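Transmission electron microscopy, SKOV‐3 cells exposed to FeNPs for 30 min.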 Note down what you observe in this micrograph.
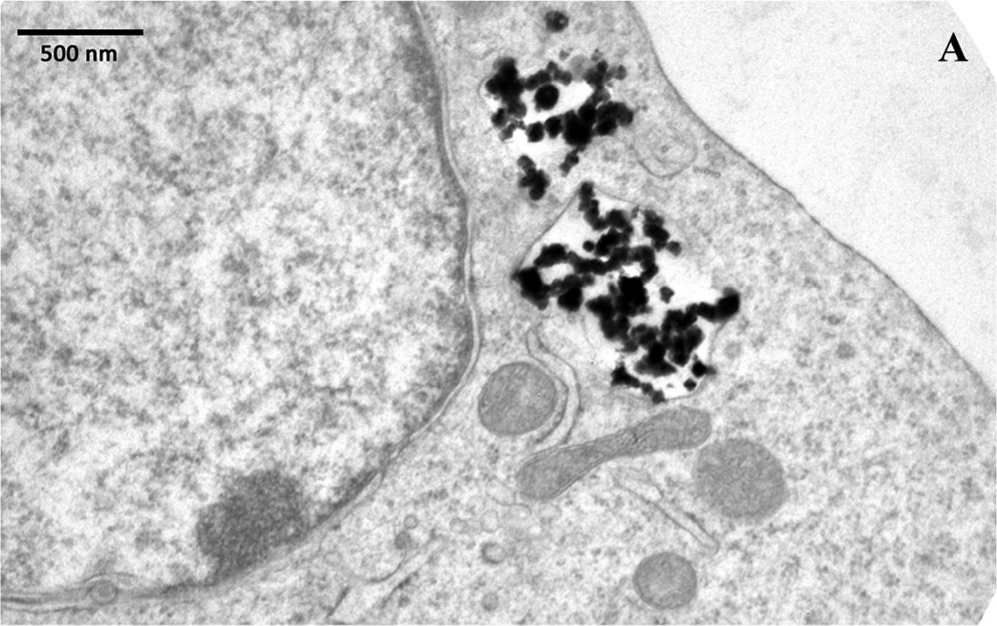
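This electron micrograph shows part of a cultured cell with the nucleus on the left, bounded by its double envelope and holding finely granular chromatin with a denser clump at its rim. In the cytoplasm beside it, two membrane-bound vesicles contain clusters of very electron-dense particles, while several mitochondria with cristae lie nearby and contain no such particles. The cell surface runs along the upper right.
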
